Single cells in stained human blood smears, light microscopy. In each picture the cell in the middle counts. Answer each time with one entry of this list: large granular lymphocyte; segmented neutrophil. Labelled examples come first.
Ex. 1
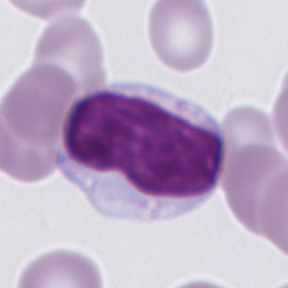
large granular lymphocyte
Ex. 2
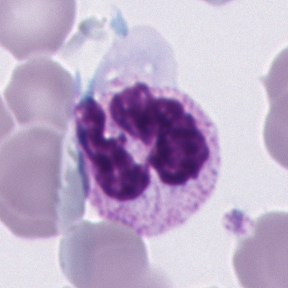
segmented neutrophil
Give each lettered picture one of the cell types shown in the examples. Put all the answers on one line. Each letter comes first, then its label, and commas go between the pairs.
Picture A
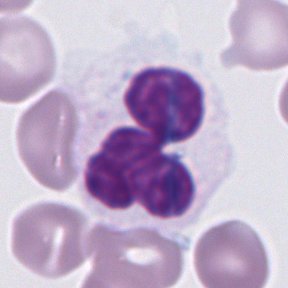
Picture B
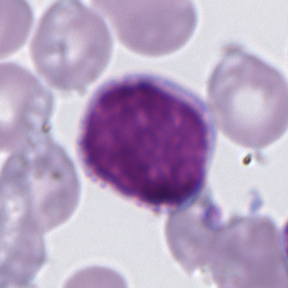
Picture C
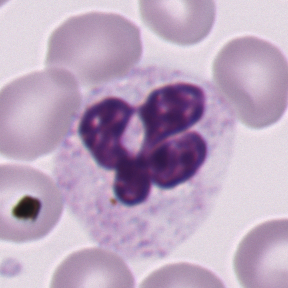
A segmented neutrophil, B large granular lymphocyte, C segmented neutrophil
